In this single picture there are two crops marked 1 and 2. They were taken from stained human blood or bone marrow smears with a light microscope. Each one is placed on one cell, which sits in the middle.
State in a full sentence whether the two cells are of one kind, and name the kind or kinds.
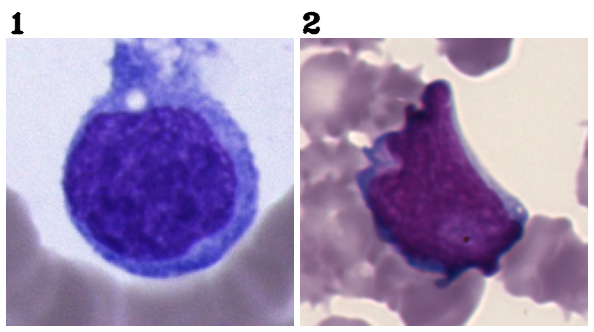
Yes, the cells that both crops show at the centre are blasts.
